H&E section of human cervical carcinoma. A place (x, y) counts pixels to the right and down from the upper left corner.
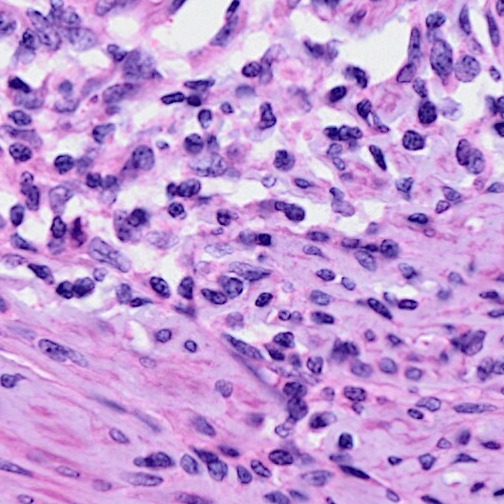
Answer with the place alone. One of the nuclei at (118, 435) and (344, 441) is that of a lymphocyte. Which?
(344, 441)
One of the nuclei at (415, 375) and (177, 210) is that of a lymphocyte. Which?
(177, 210)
